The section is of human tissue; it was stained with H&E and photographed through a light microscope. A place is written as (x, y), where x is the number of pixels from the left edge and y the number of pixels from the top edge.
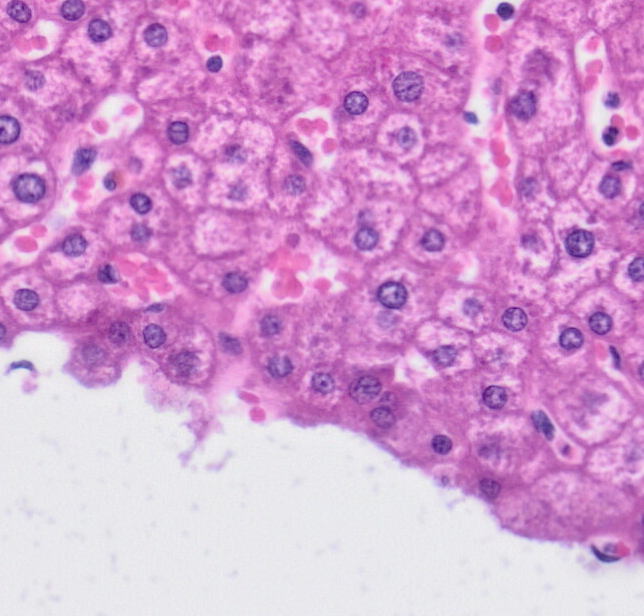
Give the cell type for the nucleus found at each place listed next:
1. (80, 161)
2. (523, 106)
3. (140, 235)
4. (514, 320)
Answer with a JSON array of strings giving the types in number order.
["Kupffer cell", "hepatocyte", "hepatocyte", "hepatocyte"]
